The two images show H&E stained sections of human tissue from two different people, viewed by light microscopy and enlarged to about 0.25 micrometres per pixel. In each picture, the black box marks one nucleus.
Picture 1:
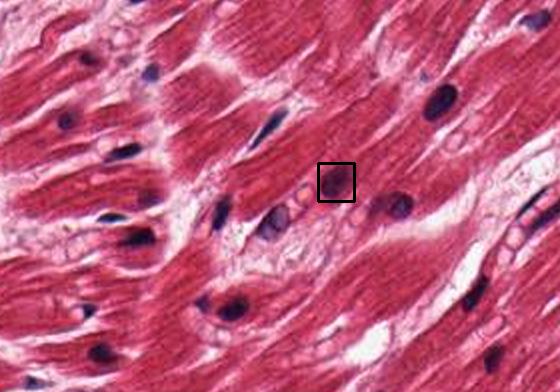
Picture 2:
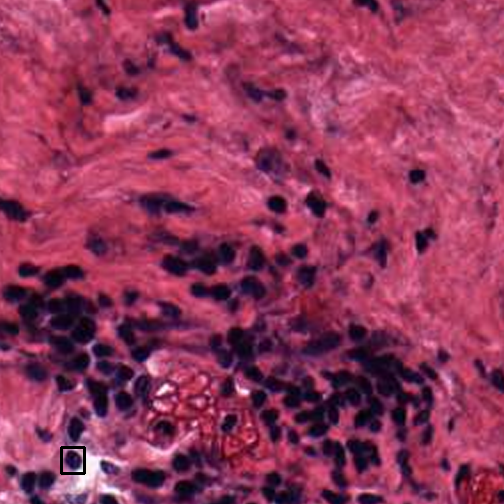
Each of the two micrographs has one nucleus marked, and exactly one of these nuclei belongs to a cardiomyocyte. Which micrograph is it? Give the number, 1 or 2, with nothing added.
1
